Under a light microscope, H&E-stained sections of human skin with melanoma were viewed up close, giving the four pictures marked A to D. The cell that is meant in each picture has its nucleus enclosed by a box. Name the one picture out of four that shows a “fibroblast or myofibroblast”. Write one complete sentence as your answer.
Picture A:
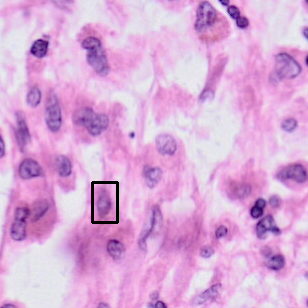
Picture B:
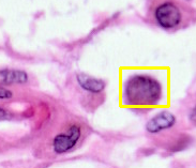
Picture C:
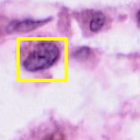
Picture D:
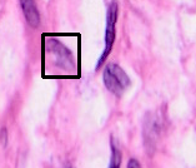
The cell in picture D is the “fibroblast or myofibroblast”.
